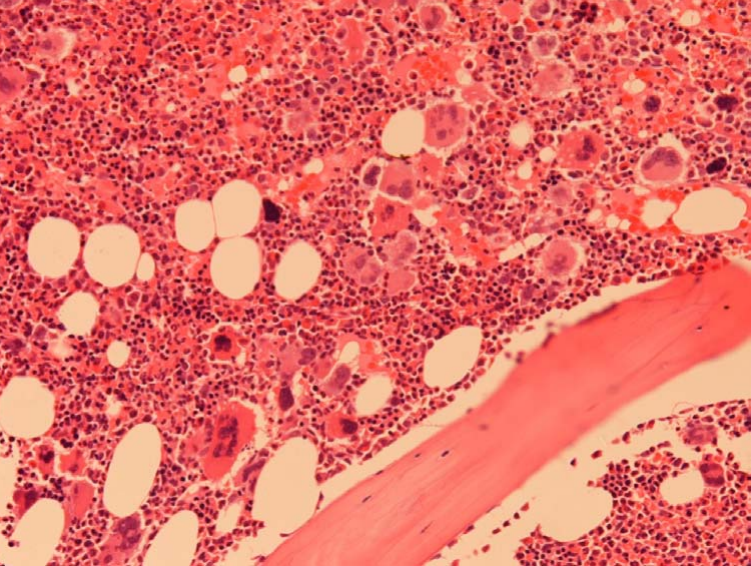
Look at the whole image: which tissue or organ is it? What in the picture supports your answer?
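A band of homogeneous pink bone runs across the lower right. Densely packed small blood-forming cells fill the space beside the bone. Round empty fat spaces are scattered among the cells.
Conclusion: bone marrow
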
